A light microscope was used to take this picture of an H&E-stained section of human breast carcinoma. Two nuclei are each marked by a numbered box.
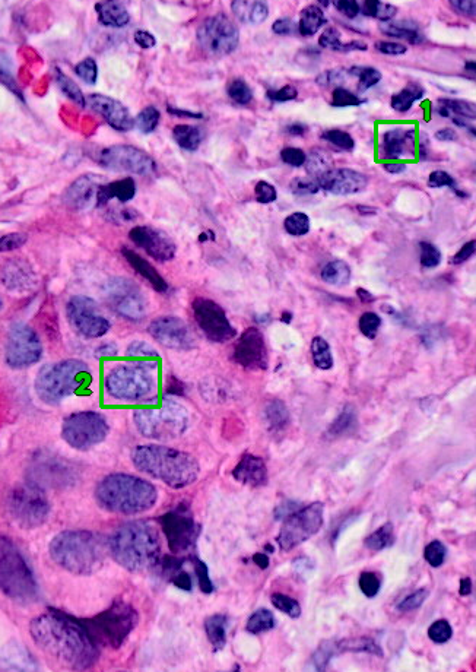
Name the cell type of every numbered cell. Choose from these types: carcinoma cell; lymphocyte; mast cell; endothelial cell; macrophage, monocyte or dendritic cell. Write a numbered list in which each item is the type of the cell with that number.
1. lymphocyte
2. carcinoma cell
